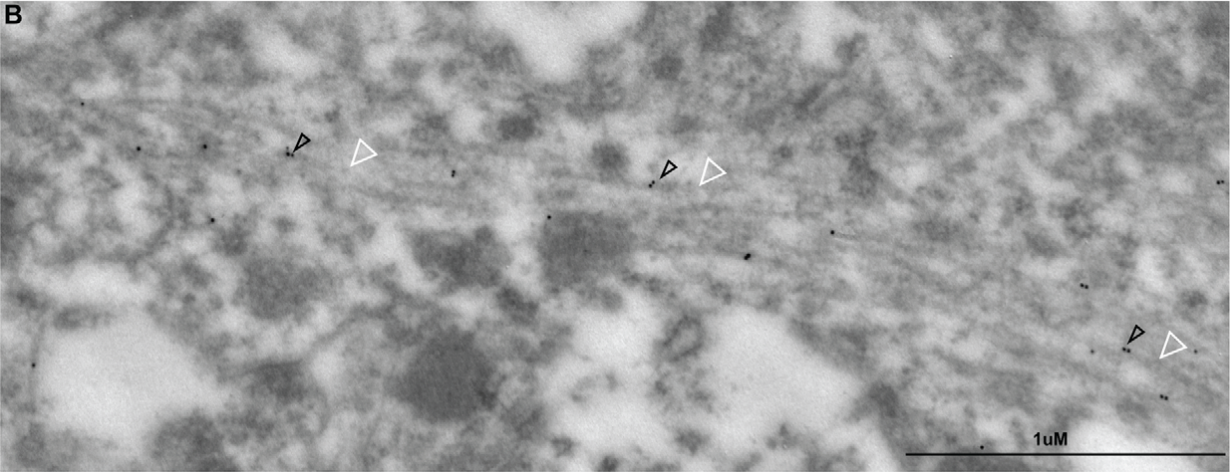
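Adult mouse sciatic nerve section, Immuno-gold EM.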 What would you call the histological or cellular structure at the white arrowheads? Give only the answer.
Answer: microtubules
